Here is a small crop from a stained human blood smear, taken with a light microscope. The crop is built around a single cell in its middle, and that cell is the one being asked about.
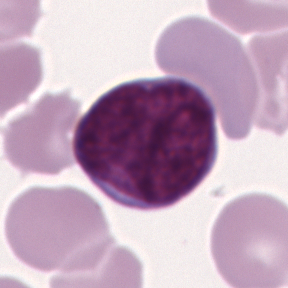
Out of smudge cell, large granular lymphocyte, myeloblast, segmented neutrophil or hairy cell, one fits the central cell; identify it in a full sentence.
In the middle of this smear crop, the cell is a myeloblast.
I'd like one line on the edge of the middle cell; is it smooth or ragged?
Happy to help: the outline is smooth and shows no projections.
